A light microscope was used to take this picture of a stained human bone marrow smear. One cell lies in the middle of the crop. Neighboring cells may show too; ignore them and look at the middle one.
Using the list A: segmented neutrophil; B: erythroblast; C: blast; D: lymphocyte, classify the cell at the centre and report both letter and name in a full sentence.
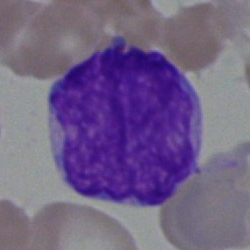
Correctly, option C names the cell in the middle a blast.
